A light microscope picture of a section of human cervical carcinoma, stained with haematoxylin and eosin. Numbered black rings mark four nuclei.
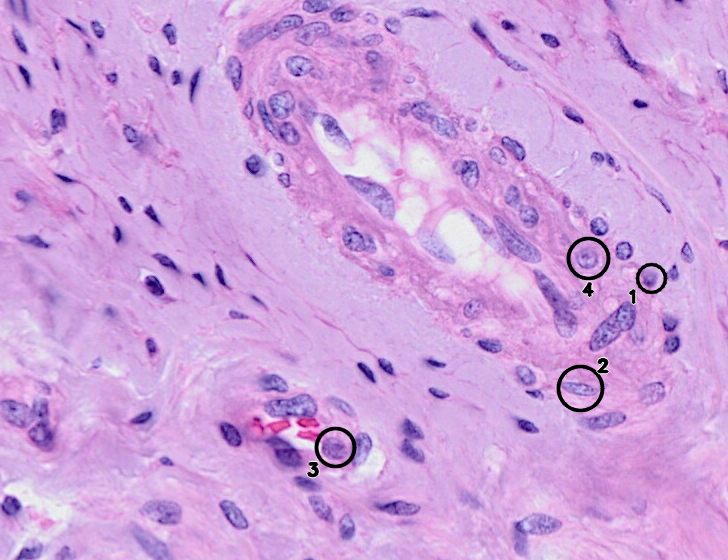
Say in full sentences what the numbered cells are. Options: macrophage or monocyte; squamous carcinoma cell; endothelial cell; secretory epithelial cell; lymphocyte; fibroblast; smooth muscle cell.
Cells 1, 2 and 4 are smooth muscle cells. Cell 3 is an endothelial cell.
